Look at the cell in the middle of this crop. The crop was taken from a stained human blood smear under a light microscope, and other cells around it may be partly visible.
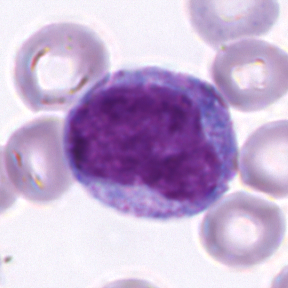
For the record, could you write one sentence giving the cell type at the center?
The crop shows a promyelocyte in its centre.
